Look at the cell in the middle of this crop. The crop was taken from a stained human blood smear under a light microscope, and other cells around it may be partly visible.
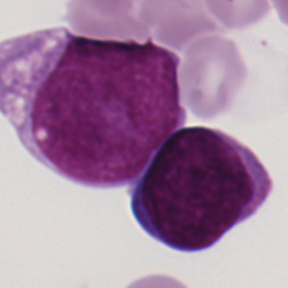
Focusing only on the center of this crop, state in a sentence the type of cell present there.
The target cell in the middle of the crop is a myeloblast.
